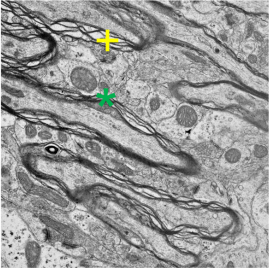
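This electron micrograph shows myelinated axons running mostly lengthwise through neuropil. Many of the sheaths are not compact: their dark lamellae are separated into numerous loose, wavy lines with pale clefts between them. The axoplasm inside is pale and contains mitochondria and fine filaments. Some sheaths form irregular folds and loops at their edges rather than a smooth, even wrapping. The surrounding neuropil contains smaller unmyelinated profiles and scattered mitochondria.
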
